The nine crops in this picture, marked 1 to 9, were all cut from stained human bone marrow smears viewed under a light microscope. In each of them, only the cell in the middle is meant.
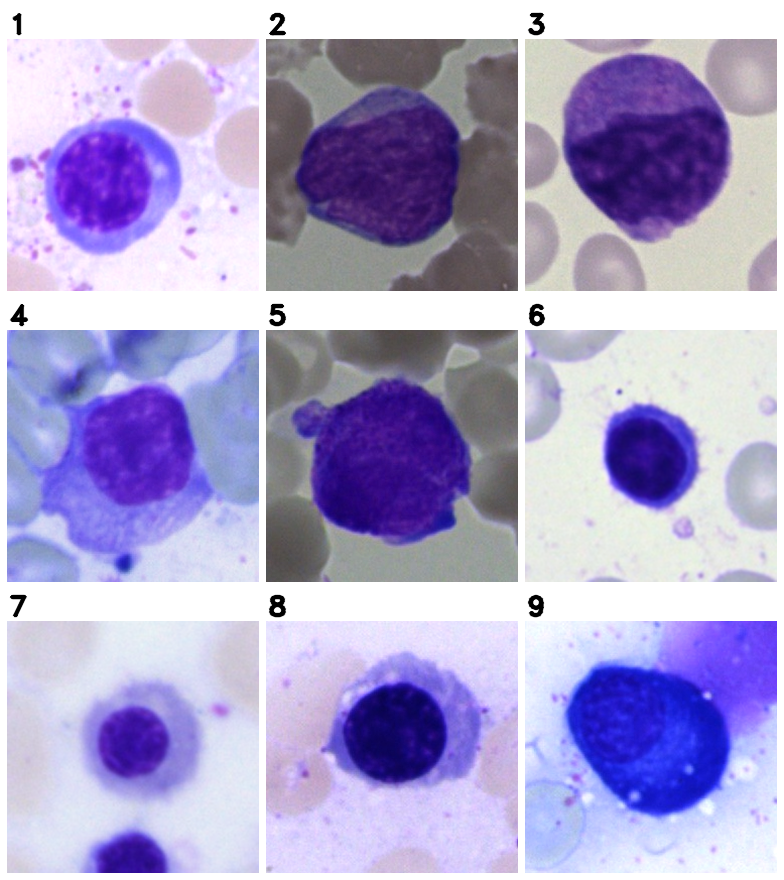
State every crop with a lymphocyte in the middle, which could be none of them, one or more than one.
none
